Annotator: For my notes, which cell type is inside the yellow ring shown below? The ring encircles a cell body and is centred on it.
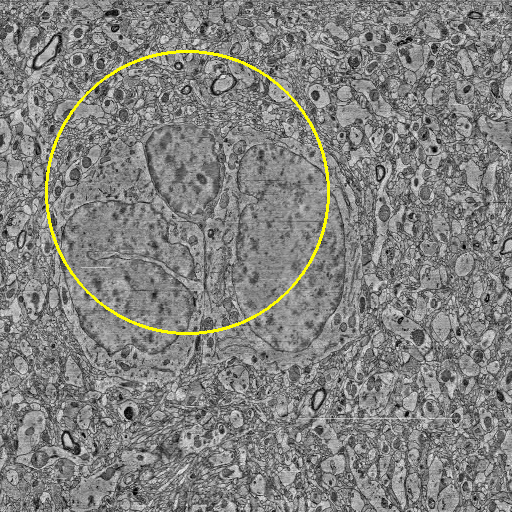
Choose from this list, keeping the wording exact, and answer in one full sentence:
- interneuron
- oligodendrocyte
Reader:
At the centre of the yellow ring there is an oligodendrocyte, as shown in the picture.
